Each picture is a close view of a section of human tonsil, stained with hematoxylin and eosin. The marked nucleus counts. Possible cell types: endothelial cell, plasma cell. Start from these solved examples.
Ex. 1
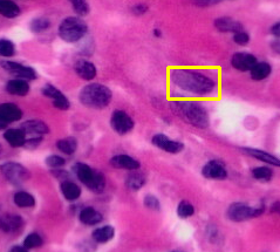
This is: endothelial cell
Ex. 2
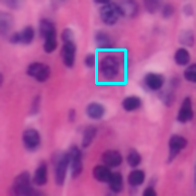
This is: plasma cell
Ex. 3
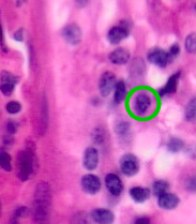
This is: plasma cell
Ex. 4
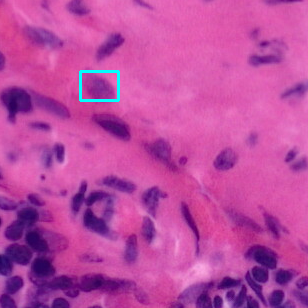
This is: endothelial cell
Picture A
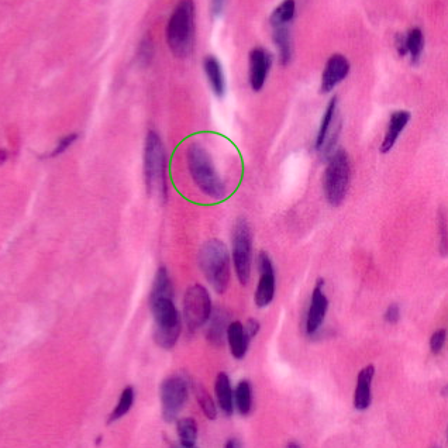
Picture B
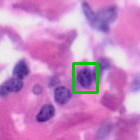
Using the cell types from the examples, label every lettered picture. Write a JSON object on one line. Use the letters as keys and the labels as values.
{"A": "endothelial cell", "B": "plasma cell"}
